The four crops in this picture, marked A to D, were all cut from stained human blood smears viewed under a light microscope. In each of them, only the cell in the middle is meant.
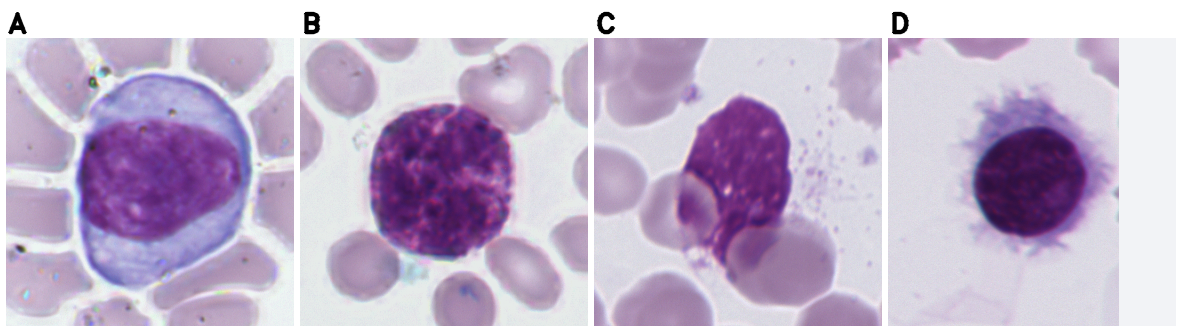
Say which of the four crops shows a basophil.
B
